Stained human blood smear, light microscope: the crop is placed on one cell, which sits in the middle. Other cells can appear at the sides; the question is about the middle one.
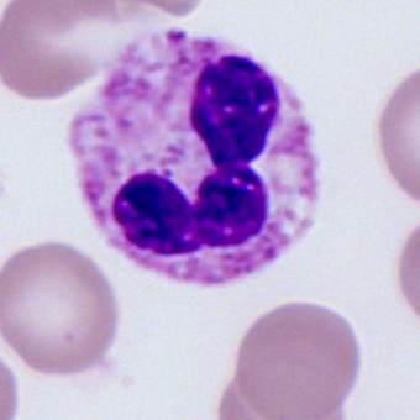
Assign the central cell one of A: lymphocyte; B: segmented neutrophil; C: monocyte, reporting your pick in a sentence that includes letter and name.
The cell in the middle is a segmented neutrophil, and so option B is correct.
